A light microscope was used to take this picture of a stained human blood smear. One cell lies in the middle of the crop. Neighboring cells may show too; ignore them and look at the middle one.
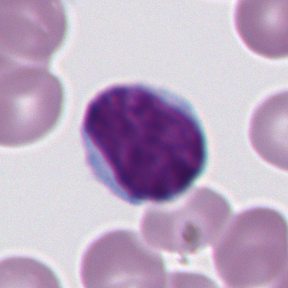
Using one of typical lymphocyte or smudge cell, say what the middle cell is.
typical lymphocyte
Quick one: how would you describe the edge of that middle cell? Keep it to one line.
If you check the edge, you will find it smooth without projections.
